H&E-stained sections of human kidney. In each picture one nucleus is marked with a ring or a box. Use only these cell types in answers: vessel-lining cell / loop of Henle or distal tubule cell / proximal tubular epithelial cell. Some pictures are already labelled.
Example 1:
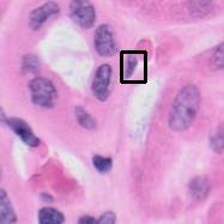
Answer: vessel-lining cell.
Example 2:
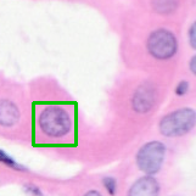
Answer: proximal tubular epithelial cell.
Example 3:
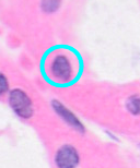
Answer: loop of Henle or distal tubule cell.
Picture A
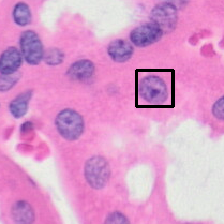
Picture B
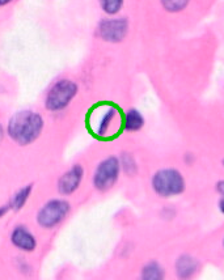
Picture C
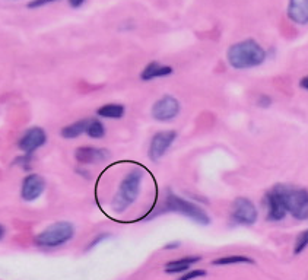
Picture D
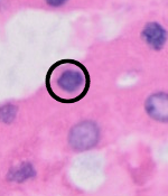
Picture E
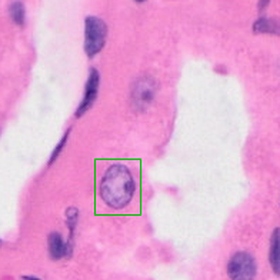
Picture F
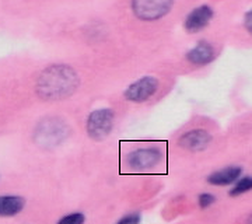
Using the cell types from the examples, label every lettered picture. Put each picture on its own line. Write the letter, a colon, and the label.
A: proximal tubular epithelial cell.
B: vessel-lining cell.
C: vessel-lining cell.
D: loop of Henle or distal tubule cell.
E: proximal tubular epithelial cell.
F: loop of Henle or distal tubule cell.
